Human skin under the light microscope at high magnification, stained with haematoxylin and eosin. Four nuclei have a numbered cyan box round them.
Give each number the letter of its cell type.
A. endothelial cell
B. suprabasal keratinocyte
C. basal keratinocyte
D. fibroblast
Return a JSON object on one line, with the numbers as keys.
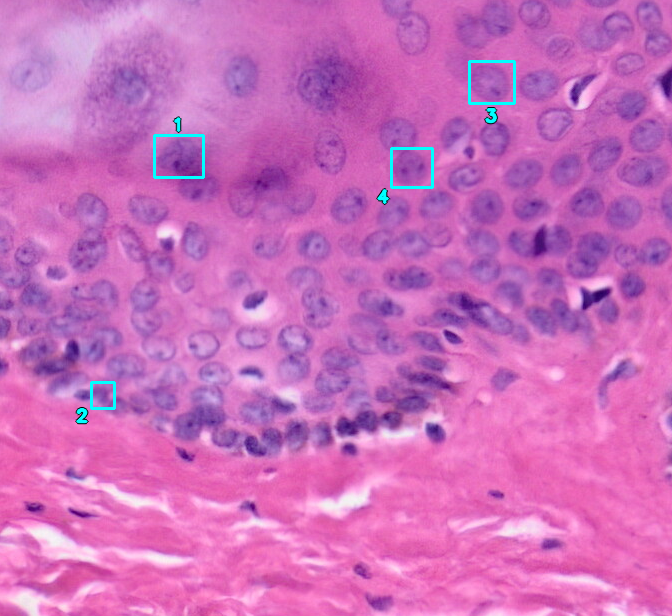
{"1": "B", "2": "C", "3": "B", "4": "B"}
